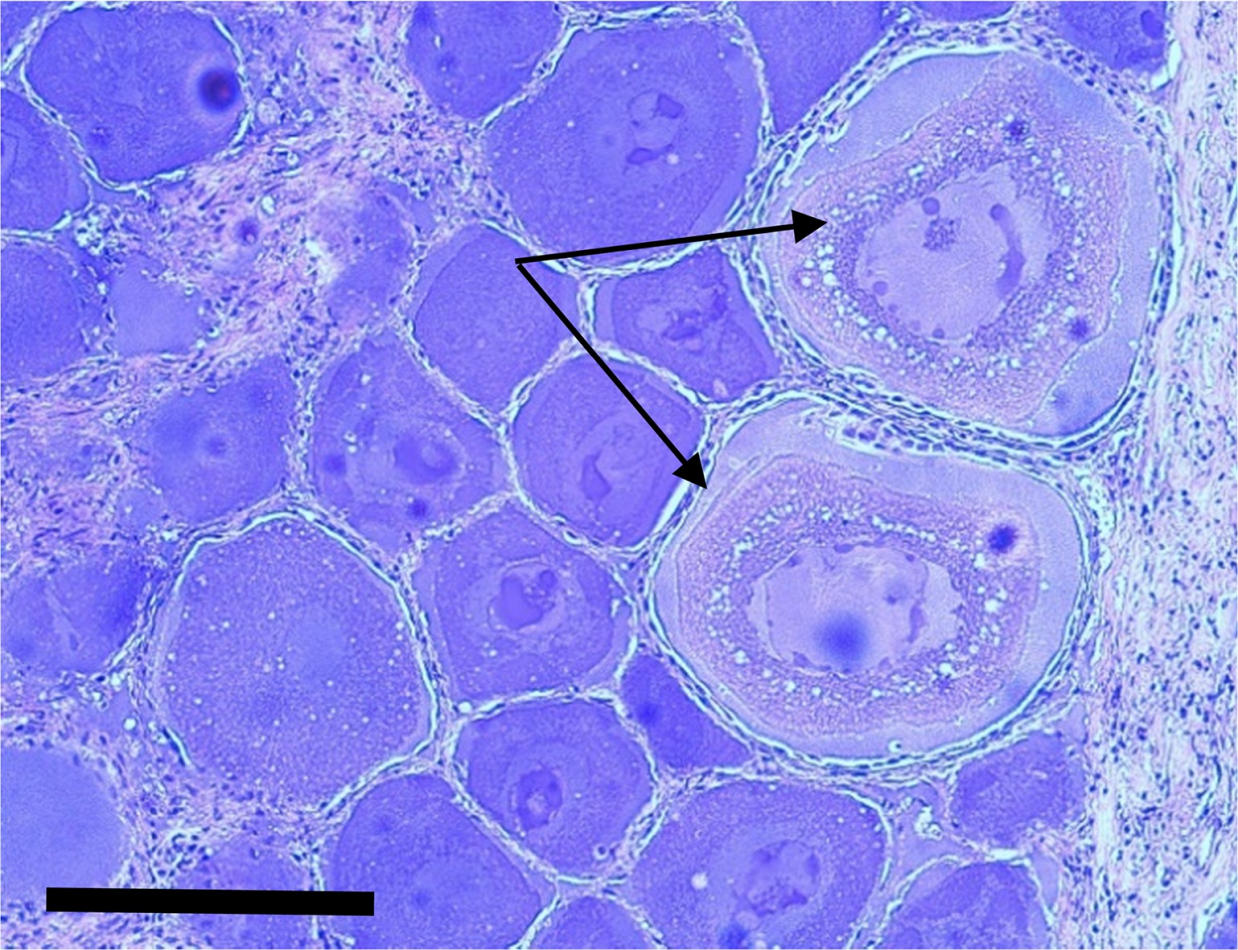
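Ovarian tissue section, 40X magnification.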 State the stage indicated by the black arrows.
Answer: Cortical alveolar oocytes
